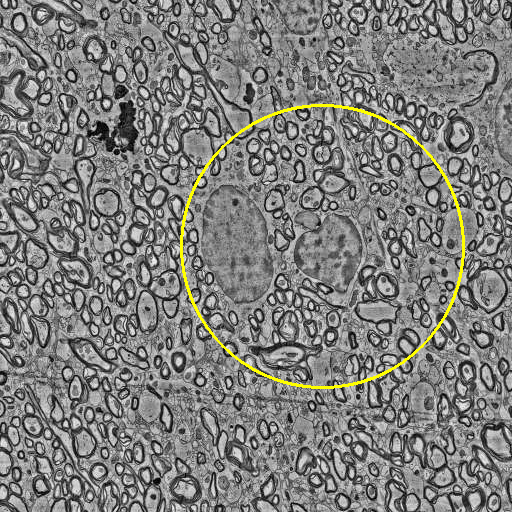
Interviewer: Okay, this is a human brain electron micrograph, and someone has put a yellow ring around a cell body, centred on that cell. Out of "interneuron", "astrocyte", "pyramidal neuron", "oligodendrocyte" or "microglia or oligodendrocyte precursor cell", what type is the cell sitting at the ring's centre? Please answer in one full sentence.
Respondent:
The cell at the centre of the yellow ring in this picture is a microglial cell or oligodendrocyte precursor cell.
